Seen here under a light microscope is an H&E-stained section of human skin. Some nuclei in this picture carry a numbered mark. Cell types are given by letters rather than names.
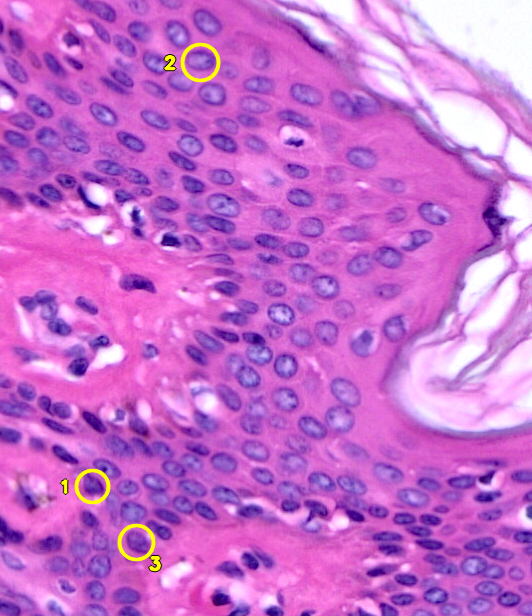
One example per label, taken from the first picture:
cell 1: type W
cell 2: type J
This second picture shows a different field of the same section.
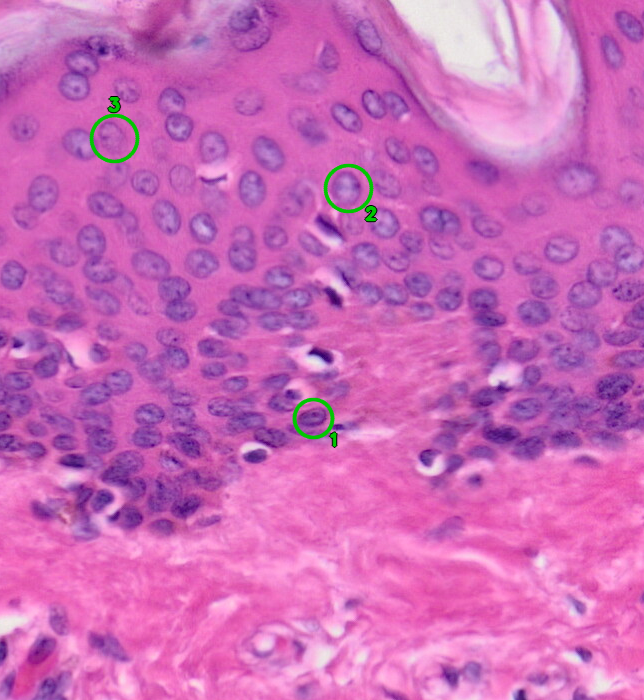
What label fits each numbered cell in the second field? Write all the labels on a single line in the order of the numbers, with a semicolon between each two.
type W; type J; type J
